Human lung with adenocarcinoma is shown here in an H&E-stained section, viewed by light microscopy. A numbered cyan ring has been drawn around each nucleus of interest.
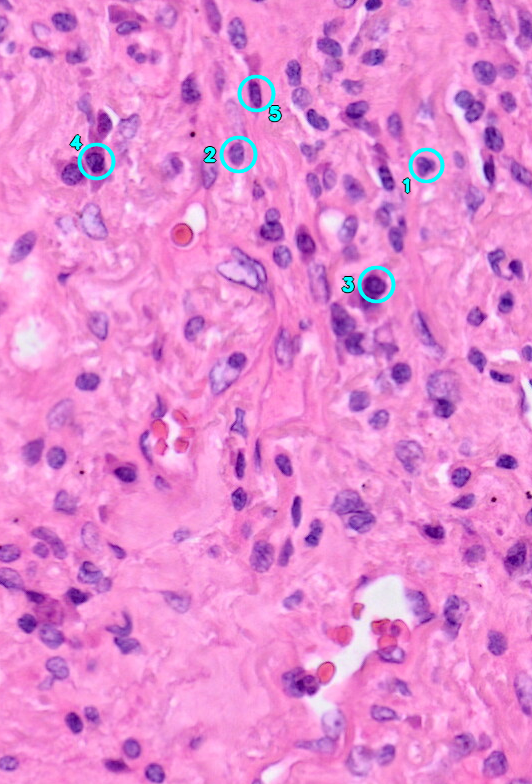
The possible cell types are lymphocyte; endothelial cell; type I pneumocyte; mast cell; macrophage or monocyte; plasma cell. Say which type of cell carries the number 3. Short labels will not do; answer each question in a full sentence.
Within this field of view, the cell labelled 3 is a plasma cell.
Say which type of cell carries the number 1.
The cell whose nucleus carries the number 1 is a lymphocyte.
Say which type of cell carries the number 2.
The cell identified by the number 2 is a lymphocyte.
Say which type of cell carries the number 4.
To a plasma cell belongs the nucleus marked 4.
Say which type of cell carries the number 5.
Cell number 5 in this section is a plasma cell.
